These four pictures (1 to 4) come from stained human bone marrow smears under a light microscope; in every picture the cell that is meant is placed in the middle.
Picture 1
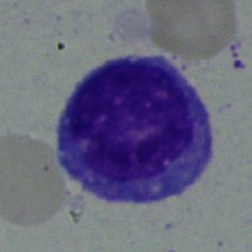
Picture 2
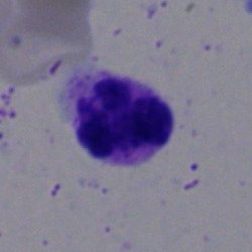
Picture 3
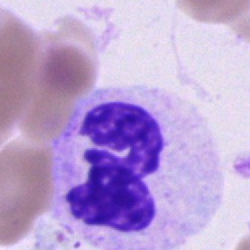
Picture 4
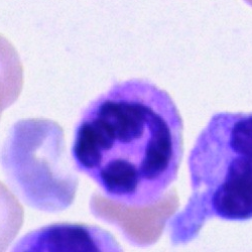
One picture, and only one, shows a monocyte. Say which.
1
